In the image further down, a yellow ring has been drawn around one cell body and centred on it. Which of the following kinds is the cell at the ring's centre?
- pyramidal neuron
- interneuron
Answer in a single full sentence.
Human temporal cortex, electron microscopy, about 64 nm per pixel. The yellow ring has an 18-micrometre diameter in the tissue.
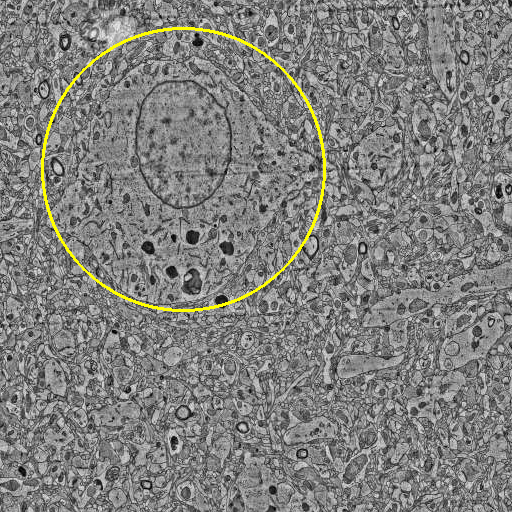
In the picture, the cell sitting at the centre of the yellow ring is a pyramidal neuron.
